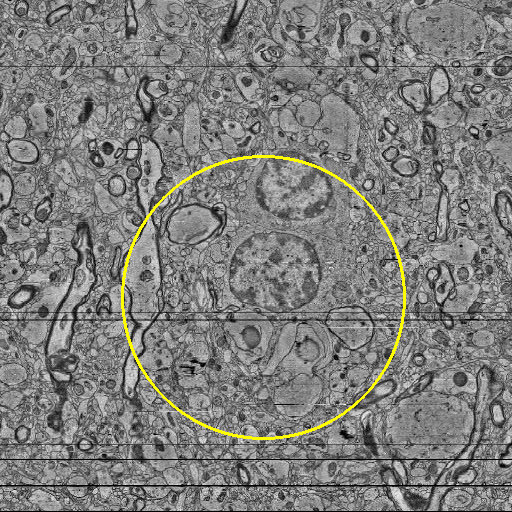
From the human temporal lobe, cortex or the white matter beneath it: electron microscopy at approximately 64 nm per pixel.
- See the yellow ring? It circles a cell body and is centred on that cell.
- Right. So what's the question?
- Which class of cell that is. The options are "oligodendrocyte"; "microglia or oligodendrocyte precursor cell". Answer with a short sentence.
The centre of the ring holds an oligodendrocyte.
